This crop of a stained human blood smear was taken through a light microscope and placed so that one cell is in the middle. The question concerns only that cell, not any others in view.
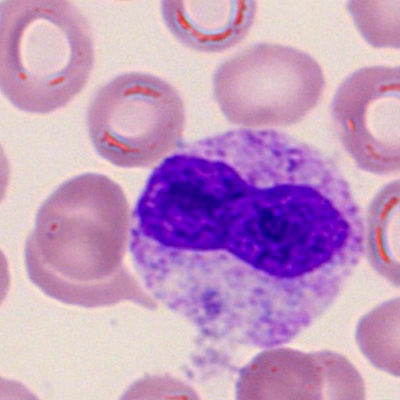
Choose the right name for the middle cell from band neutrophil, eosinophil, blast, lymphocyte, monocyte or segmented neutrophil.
band neutrophil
